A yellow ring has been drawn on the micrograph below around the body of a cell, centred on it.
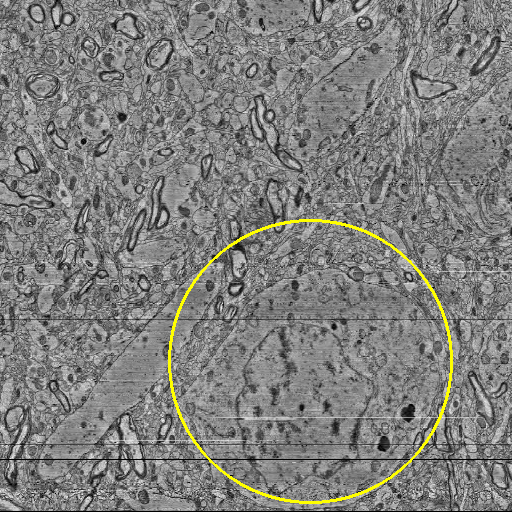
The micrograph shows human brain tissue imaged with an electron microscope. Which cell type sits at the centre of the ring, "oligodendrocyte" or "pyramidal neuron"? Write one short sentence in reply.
The cell sitting at the centre of the ring is a pyramidal neuron.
